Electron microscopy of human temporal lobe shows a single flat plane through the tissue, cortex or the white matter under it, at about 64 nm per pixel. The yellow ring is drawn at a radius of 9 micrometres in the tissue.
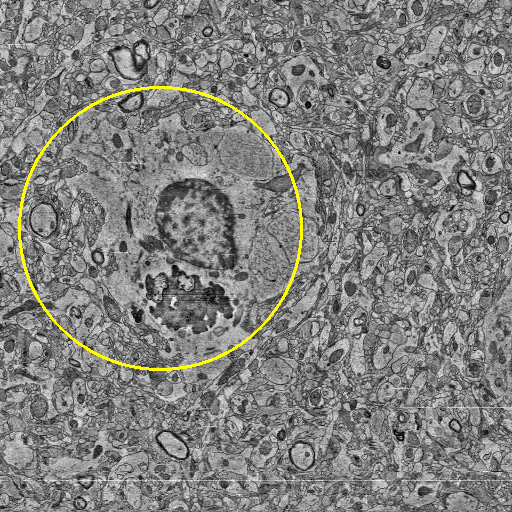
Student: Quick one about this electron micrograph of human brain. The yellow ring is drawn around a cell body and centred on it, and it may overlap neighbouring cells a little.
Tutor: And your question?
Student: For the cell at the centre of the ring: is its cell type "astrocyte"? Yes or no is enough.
yes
